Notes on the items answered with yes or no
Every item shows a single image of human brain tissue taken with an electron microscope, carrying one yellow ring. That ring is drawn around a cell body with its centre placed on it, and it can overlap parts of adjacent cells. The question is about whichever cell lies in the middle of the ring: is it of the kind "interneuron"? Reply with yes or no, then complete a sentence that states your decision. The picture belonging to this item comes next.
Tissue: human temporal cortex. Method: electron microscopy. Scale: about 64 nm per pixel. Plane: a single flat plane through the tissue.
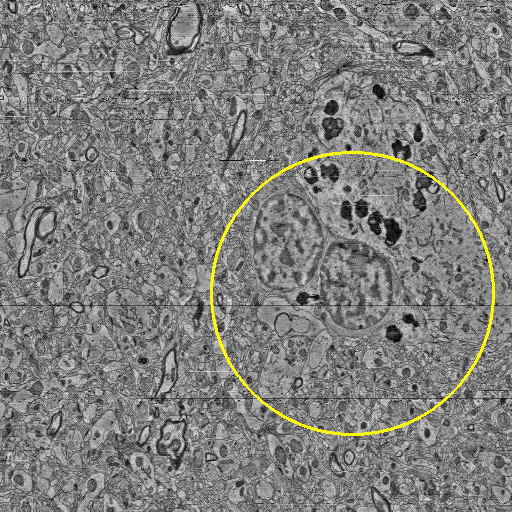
No, this micrograph shows a cell of another kind in the middle of the ring.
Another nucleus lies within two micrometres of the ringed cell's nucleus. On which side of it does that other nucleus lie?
That nucleus lies to the upper left of it.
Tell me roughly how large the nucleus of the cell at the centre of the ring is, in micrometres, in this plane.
The nucleus of the ringed cell is approximately 6 by 5 micrometres in this plane.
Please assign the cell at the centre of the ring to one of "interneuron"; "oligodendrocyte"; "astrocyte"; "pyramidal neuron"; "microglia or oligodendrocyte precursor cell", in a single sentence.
Instead, the ring in this picture marks an oligodendrocyte.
